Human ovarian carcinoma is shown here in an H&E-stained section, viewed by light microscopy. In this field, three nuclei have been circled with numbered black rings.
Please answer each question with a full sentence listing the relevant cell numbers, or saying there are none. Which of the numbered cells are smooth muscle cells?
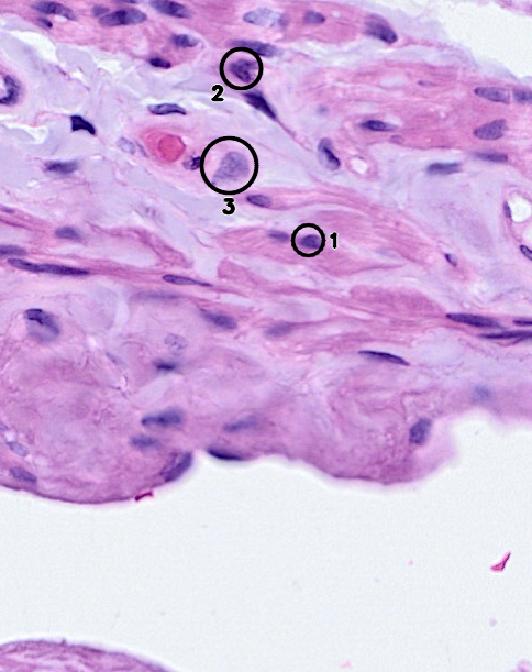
Just one numbered cell is a smooth muscle cell, and that cell is number 1.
